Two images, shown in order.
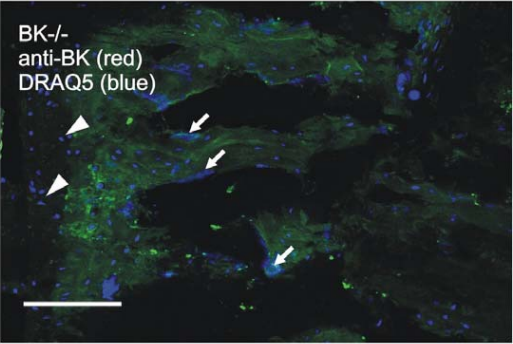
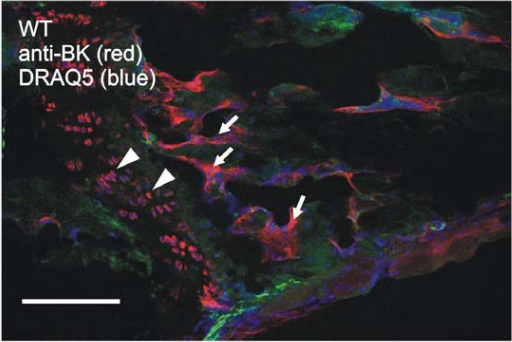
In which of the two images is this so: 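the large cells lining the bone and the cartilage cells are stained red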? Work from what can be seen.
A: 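Second image: columns of small cells and large cells lining bone spaces are bright red.
The second image.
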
